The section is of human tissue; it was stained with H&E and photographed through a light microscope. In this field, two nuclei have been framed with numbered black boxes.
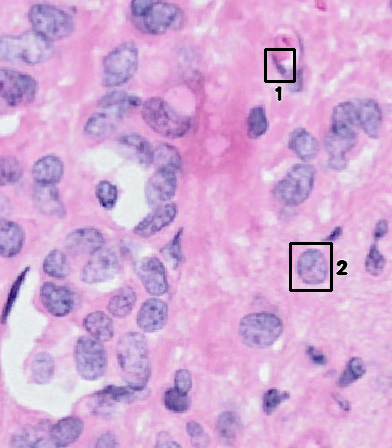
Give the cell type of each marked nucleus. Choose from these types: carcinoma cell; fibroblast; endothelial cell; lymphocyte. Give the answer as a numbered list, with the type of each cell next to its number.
1. endothelial cell
2. carcinoma cell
